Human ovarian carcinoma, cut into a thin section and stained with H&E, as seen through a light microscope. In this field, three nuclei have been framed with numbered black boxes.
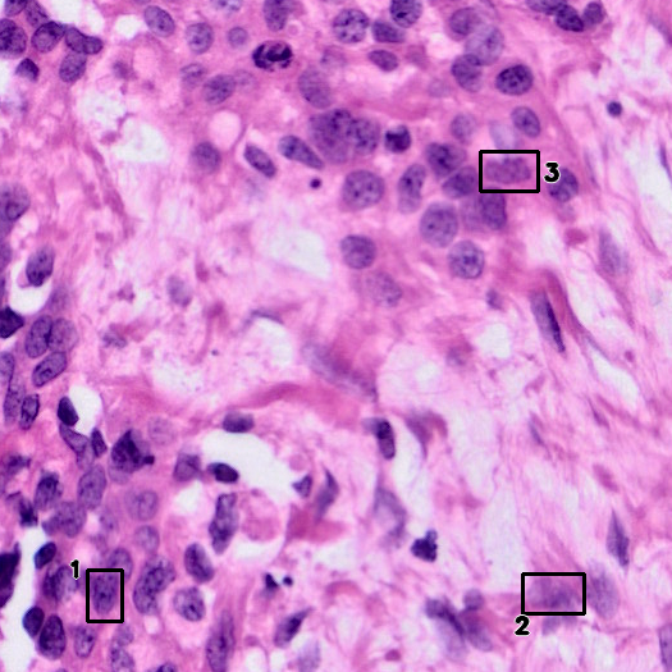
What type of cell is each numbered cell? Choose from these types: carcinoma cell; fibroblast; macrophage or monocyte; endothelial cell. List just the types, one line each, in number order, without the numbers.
carcinoma cell
fibroblast
carcinoma cell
